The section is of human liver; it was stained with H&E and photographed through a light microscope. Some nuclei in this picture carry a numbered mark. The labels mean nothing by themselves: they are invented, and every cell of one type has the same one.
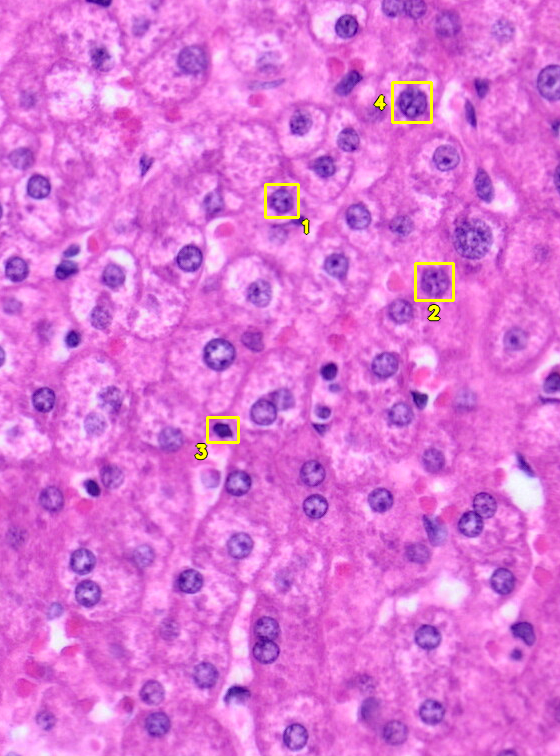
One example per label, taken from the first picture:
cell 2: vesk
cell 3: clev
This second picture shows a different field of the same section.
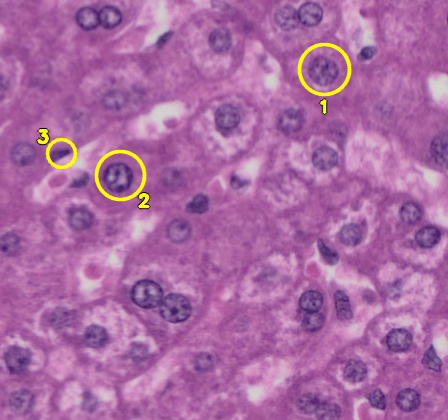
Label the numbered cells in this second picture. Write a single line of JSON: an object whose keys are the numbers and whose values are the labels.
{"1": "vesk", "2": "vesk", "3": "clev"}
